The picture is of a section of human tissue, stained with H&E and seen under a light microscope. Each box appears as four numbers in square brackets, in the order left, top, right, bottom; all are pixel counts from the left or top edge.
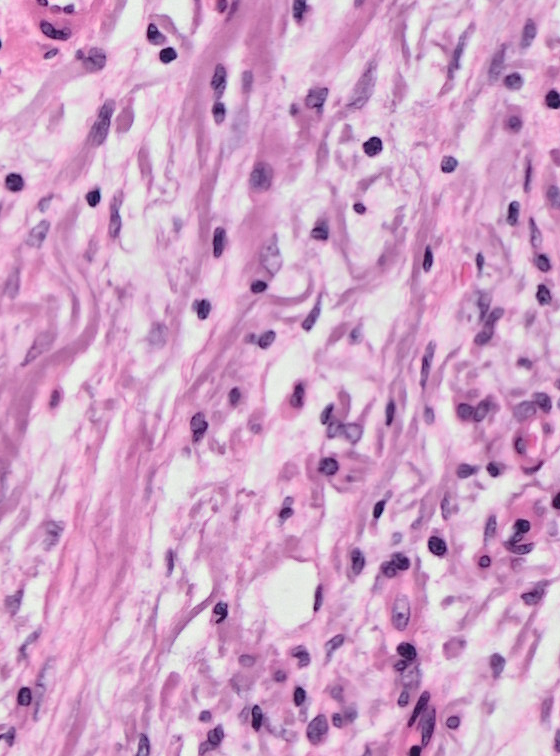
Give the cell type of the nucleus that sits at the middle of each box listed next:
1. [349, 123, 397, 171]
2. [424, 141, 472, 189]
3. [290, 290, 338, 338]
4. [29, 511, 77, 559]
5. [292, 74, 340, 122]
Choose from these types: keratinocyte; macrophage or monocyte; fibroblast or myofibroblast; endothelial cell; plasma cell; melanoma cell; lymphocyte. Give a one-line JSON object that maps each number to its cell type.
{"1": "lymphocyte", "2": "lymphocyte", "3": "fibroblast or myofibroblast", "4": "fibroblast or myofibroblast", "5": "macrophage or monocyte"}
